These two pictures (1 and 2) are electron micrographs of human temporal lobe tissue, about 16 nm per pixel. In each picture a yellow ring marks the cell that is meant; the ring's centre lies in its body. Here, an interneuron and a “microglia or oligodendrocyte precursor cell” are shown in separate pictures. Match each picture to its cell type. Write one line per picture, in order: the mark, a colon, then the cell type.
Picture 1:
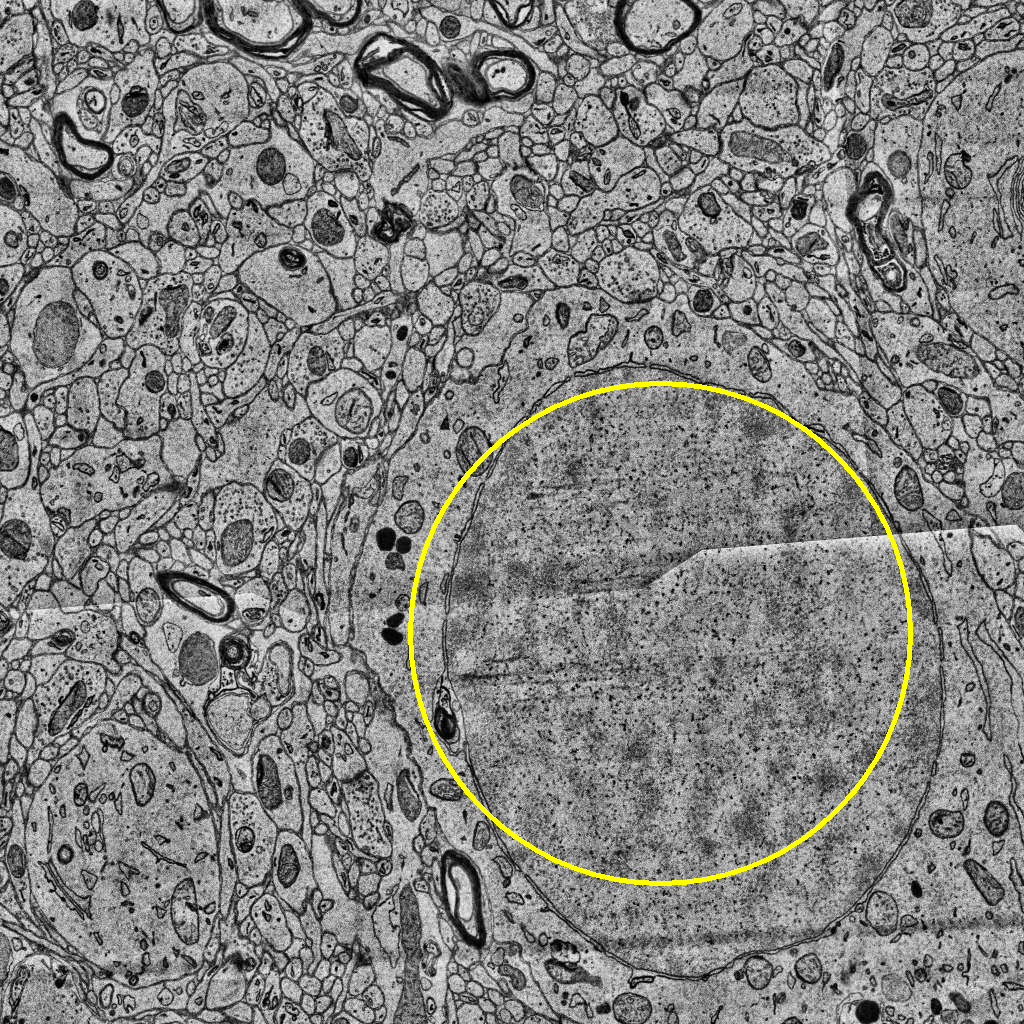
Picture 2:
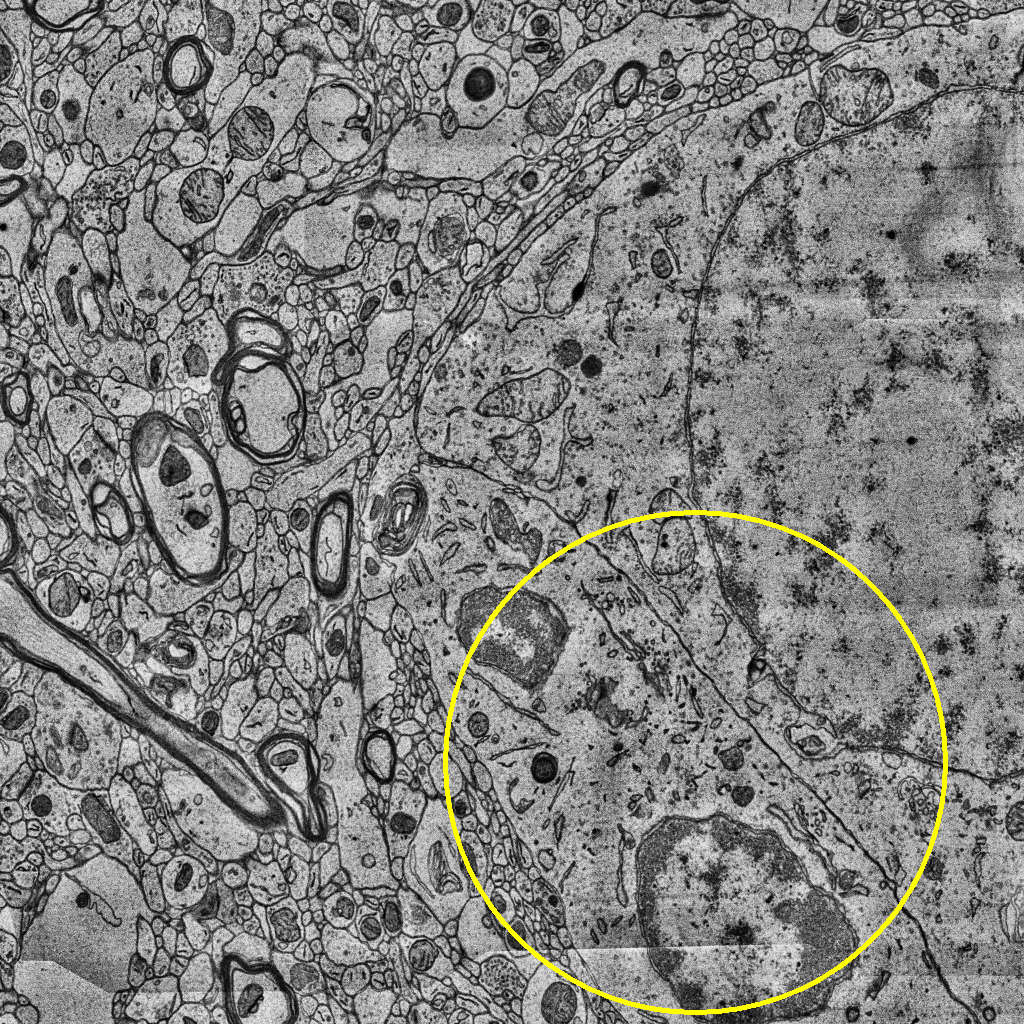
1: interneuron
2: microglia or oligodendrocyte precursor cell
